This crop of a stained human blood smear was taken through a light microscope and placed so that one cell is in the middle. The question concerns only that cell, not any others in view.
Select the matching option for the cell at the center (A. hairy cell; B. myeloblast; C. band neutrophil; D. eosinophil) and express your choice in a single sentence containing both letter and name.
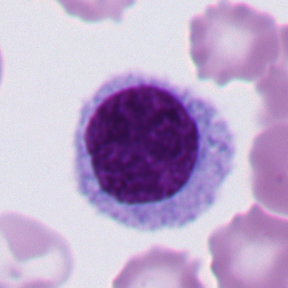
Option A is correct in that the central cell is a hairy cell.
